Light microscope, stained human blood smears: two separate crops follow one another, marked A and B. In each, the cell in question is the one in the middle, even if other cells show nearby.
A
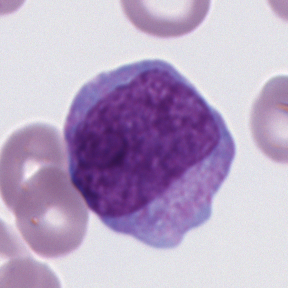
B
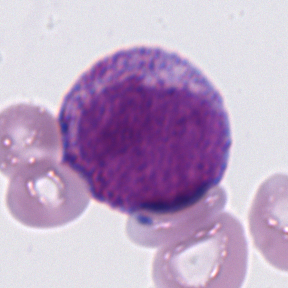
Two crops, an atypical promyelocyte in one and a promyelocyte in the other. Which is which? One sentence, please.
The cell in crop A is an atypical promyelocyte, whereas the cell in crop B is a promyelocyte.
